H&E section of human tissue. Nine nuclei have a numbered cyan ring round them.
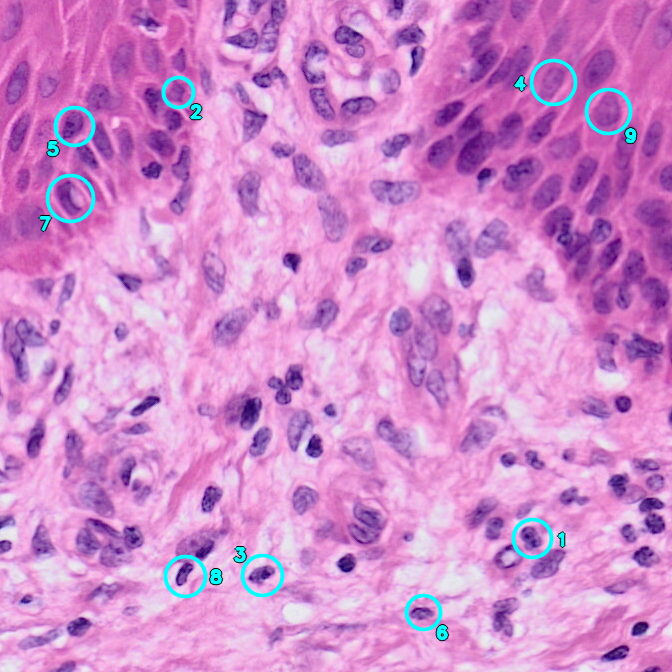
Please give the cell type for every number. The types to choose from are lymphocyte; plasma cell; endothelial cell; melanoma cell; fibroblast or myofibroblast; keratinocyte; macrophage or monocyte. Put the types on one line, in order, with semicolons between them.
lymphocyte; keratinocyte; lymphocyte; keratinocyte; keratinocyte; lymphocyte; keratinocyte; lymphocyte; keratinocyte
